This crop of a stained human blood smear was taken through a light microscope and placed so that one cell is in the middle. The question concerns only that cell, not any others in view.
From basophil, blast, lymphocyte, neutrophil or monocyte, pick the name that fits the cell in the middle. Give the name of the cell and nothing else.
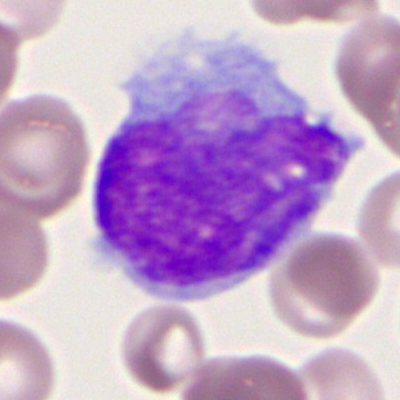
monocyte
